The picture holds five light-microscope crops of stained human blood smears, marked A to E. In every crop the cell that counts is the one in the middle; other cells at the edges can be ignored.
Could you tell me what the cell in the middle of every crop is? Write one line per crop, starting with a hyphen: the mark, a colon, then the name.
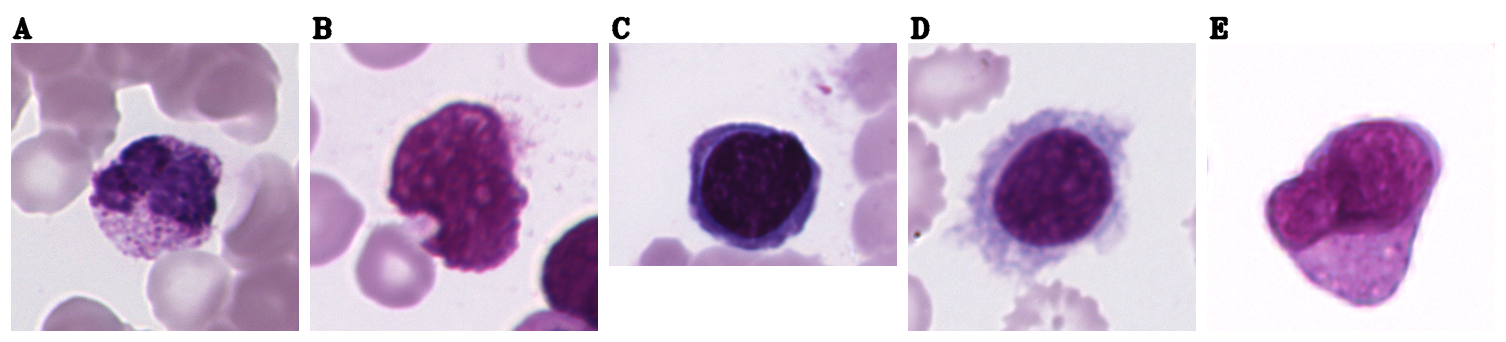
- A: basophil
- B: smudge cell
- C: erythroblast
- D: hairy cell
- E: atypical promyelocyte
